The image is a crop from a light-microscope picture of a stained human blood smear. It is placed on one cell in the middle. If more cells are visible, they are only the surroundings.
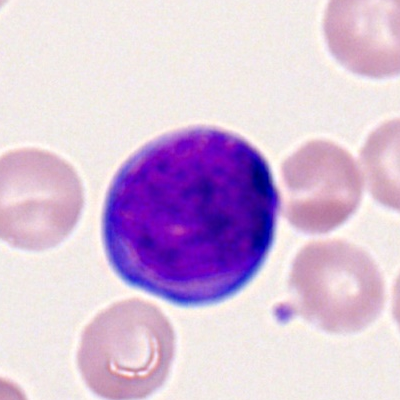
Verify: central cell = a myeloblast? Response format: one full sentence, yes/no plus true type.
Yes, this crop has a myeloblast at its centre.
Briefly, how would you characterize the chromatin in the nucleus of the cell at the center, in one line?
The chromatin in this nucleus is coarsely clumped.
